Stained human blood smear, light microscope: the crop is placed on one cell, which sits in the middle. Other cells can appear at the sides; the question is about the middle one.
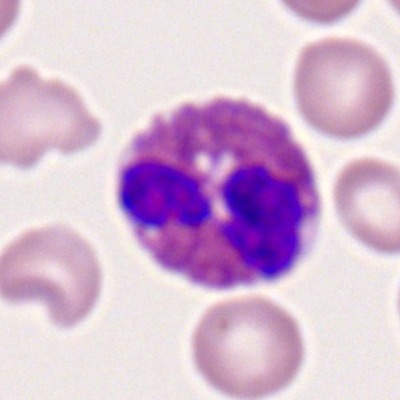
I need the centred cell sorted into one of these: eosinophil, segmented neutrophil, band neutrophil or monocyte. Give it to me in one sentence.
The cell of interest, in the center, is an eosinophil.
